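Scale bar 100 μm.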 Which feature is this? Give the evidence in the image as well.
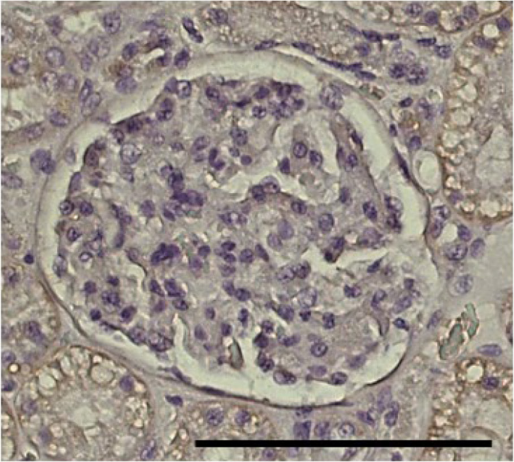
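Glomerulus. A round, densely cellular tuft fills the centre of the panel. A narrow clear space and a thin capsule surround the tuft. Tubule cross-sections lie around it.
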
